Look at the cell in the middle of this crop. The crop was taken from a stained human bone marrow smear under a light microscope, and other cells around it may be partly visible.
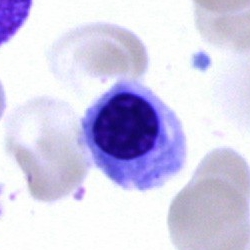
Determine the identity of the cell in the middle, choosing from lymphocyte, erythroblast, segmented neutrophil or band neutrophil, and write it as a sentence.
The centrally positioned cell in the crop represents an erythroblast.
